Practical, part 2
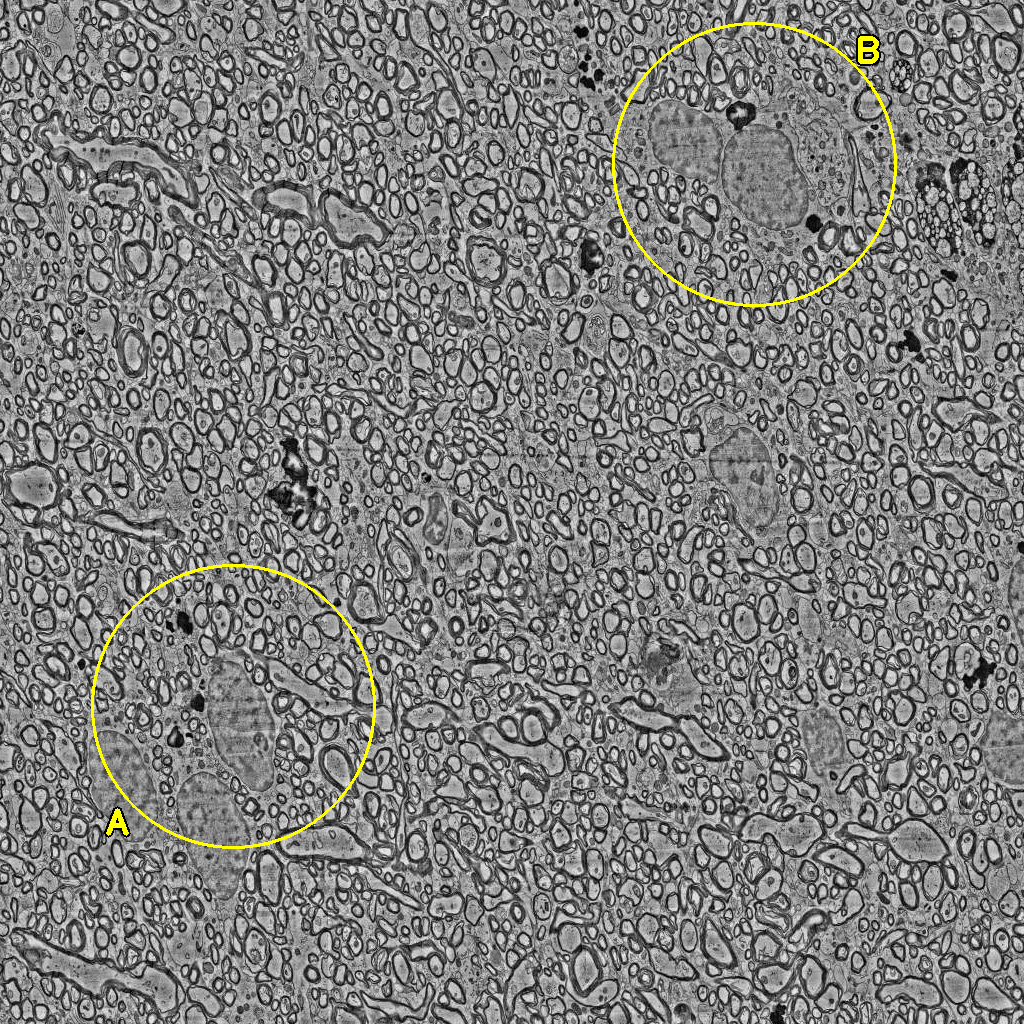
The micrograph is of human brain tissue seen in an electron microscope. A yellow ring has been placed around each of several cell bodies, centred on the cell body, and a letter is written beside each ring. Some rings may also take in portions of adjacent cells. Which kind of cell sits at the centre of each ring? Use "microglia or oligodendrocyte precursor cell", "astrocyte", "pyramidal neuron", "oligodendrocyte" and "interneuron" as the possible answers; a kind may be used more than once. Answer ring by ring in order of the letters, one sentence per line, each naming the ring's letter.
Ring A sits on an oligodendrocyte.
Ring B sits on an oligodendrocyte.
